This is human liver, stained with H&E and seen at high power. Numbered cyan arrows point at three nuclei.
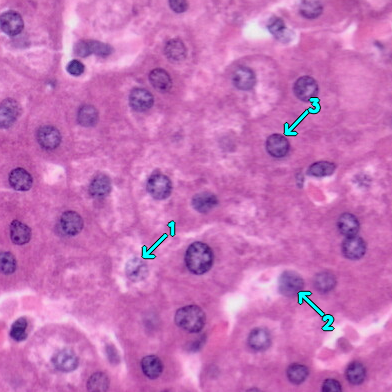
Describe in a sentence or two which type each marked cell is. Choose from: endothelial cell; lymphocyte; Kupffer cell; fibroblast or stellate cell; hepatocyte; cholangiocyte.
Cells 1 and 3 are hepatocytes. Cell 2 is an endothelial cell.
